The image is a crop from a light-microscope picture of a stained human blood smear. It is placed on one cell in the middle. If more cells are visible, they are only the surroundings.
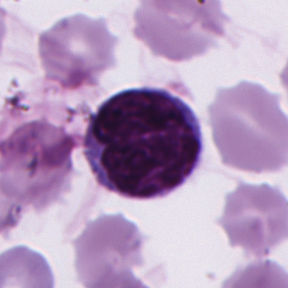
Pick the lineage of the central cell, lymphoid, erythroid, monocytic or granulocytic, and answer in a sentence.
The middle cell is placed in the erythroid lineage.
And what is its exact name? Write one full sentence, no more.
Answering briefly, the cell in the middle is a normoblast.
